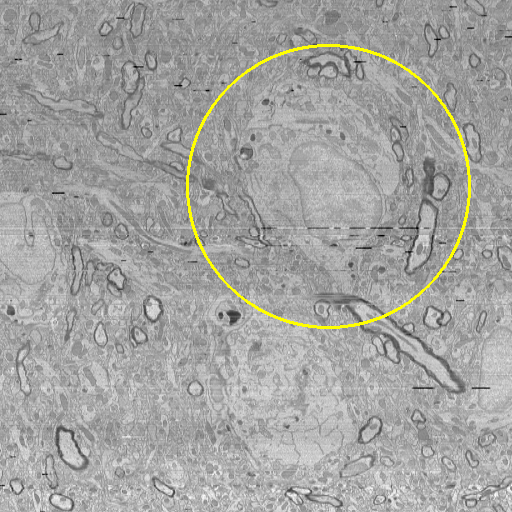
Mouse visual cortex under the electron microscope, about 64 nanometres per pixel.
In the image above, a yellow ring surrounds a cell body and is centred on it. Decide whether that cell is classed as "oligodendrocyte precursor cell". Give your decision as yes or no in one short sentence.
No, it belongs to another kind of cell.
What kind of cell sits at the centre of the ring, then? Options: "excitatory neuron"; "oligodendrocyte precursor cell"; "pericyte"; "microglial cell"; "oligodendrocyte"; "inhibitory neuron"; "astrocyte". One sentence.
Instead, the cell at the centre of the ring is an oligodendrocyte.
